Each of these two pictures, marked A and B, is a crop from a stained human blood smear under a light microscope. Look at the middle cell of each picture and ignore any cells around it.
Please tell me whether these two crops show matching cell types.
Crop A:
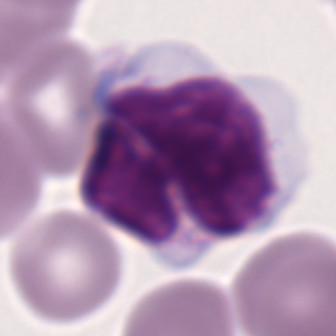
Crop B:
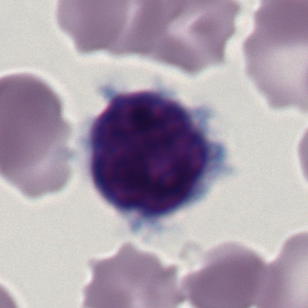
no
